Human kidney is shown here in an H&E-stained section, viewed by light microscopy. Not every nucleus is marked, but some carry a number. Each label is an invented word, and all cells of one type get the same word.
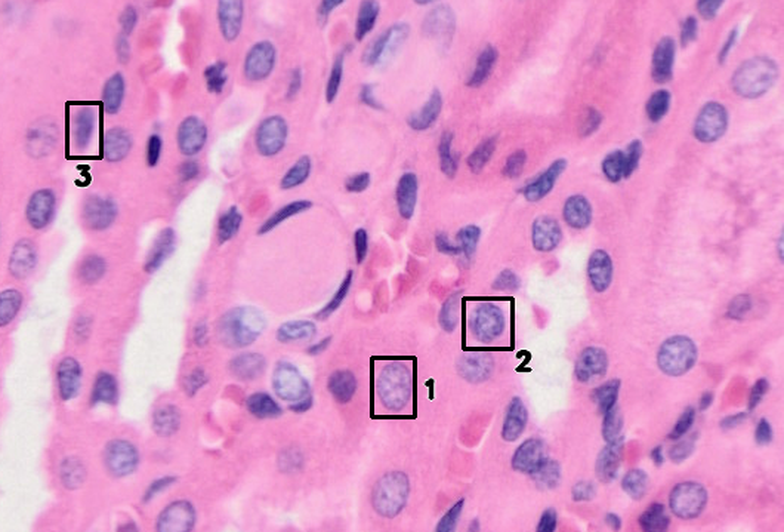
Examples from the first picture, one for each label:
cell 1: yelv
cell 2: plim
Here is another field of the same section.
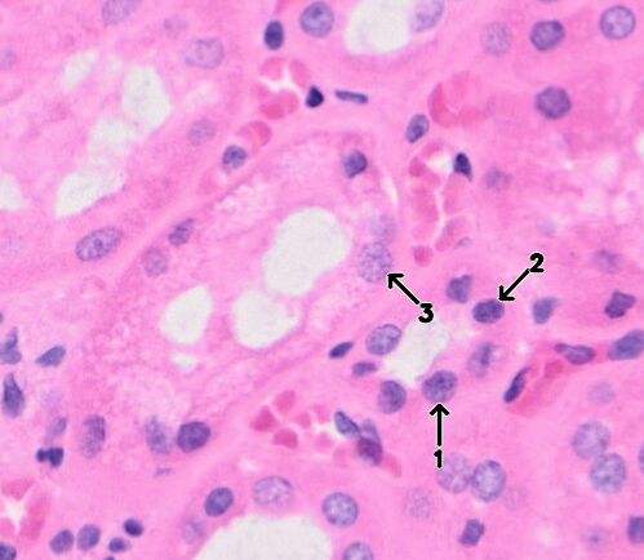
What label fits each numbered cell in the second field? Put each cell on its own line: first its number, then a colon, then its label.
1: plim
2: plim
3: yelv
